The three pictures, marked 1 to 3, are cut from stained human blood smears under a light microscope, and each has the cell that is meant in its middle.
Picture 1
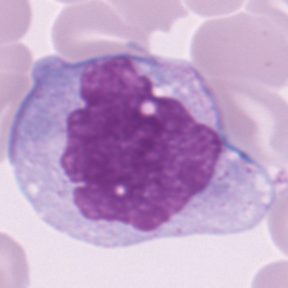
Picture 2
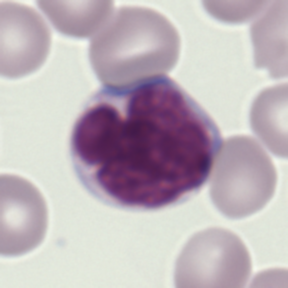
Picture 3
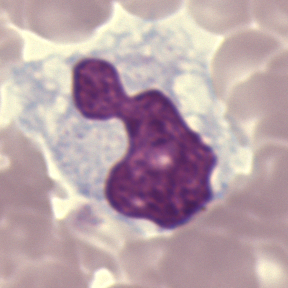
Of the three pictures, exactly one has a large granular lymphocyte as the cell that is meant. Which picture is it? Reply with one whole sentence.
The cell in picture 2 is the large granular lymphocyte.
